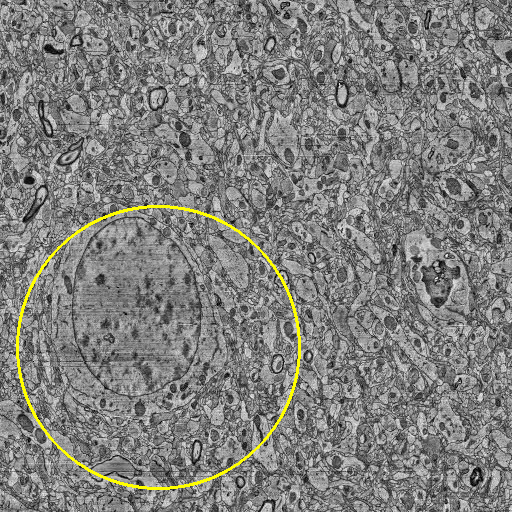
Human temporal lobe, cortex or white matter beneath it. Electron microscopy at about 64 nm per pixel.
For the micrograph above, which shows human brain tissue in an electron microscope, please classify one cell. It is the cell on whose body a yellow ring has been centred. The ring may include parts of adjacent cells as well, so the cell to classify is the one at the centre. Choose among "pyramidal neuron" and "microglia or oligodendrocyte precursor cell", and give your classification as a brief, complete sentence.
I classify this cell as a pyramidal neuron.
